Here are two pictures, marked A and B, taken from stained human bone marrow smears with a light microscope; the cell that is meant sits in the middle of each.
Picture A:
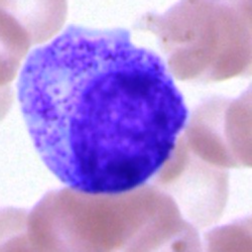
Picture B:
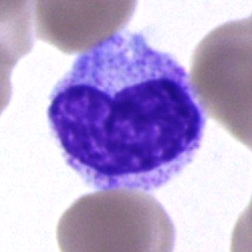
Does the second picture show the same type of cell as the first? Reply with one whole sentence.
No. Picture A shows a myelocyte, but picture B shows a metamyelocyte.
